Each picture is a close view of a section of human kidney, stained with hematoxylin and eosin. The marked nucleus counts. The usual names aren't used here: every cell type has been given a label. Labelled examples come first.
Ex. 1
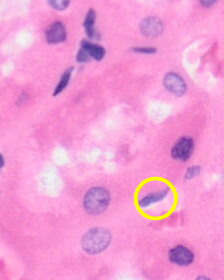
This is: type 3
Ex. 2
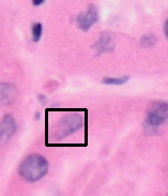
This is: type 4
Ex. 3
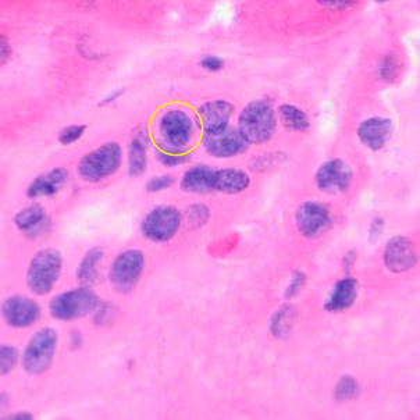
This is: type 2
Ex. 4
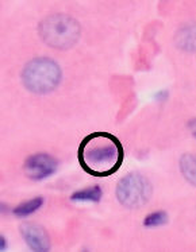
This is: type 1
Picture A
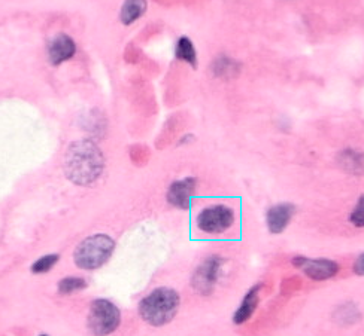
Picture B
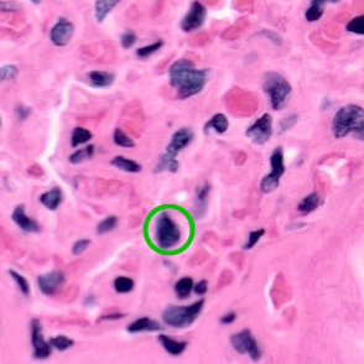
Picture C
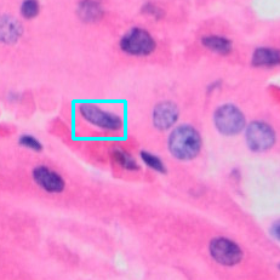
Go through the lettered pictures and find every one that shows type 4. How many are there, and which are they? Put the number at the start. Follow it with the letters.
0, none of them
